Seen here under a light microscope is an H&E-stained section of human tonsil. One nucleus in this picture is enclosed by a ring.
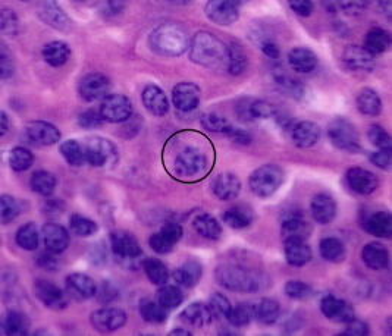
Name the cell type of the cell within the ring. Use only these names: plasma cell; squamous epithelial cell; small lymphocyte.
plasma cell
